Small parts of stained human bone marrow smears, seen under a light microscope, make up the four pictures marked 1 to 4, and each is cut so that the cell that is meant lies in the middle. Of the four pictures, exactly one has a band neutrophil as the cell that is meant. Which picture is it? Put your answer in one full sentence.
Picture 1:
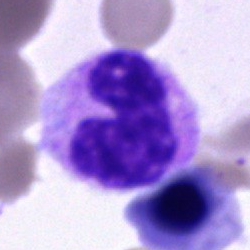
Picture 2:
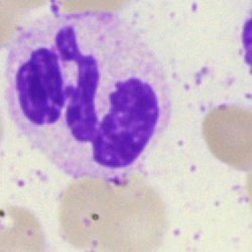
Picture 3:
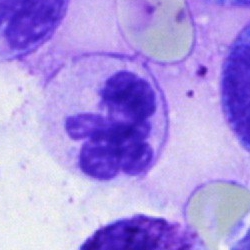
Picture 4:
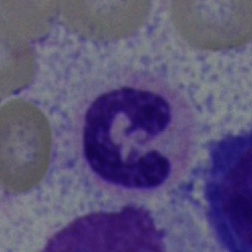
Picture 1 is the one that shows the band neutrophil.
